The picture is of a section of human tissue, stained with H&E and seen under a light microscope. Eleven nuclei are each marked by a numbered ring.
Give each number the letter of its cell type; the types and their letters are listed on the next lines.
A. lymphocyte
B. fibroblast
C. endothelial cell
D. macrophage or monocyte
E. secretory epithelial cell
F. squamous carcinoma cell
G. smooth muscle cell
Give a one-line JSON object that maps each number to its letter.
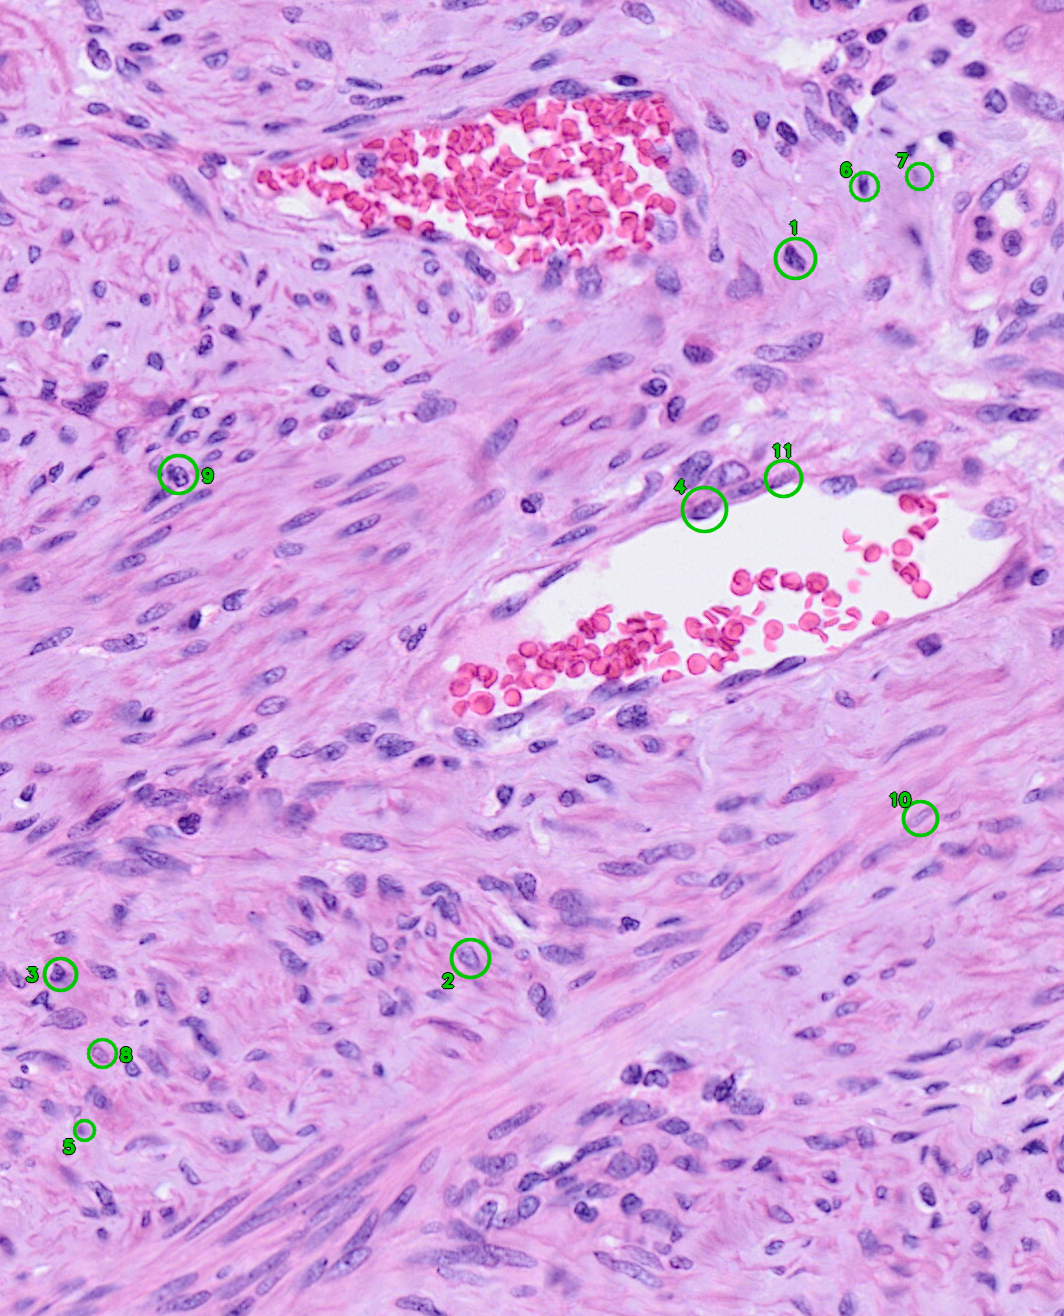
{"1": "A", "2": "G", "3": "G", "4": "C", "5": "G", "6": "B", "7": "B", "8": "G", "9": "A", "10": "G", "11": "C"}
